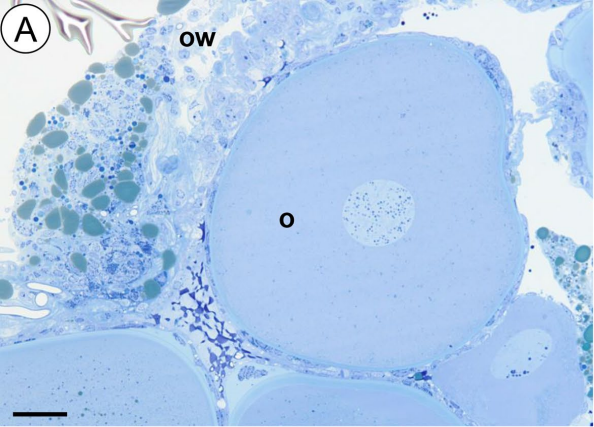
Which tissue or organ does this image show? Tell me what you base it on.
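Ovary. A very large rounded cell with a pale round nucleus in the middle. Parts of further large cells of the same kind around it. A wall of smaller cells with many granules at the upper left.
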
